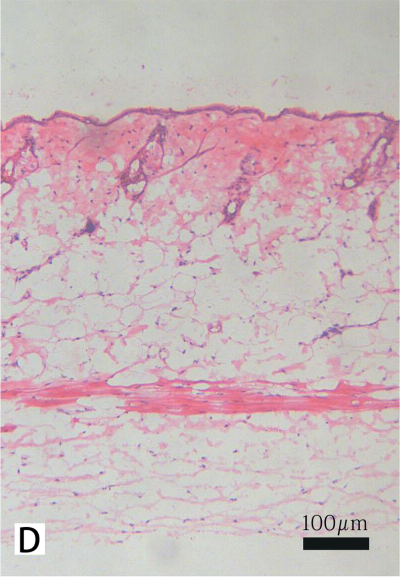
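This is a section of skin in which the hair follicles stay within the dermis. A thin purple epidermis lines the top, resting on a pale pink dermis that contains only a few small follicle profiles. Beneath it a thick layer of pale fat cells with thin pink walls forms a net-like pattern. No large pigmented bulbs are present in the fat. A horizontal band of denser pink muscle tissue crosses the lower part, with looser connective tissue below.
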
